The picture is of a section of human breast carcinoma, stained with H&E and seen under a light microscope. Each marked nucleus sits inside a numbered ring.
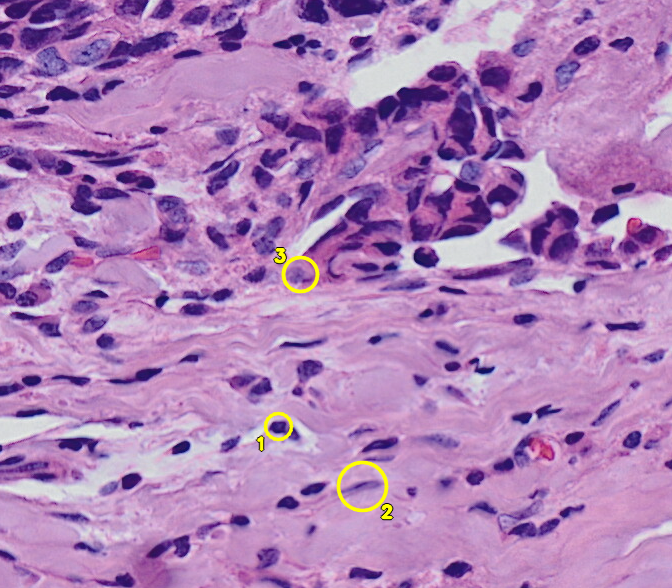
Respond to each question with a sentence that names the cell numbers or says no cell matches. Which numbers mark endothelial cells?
Just one numbered cell is an endothelial cell, and that cell is number 3.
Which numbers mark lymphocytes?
Cell 1 is the one numbered cell that is a lymphocyte.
